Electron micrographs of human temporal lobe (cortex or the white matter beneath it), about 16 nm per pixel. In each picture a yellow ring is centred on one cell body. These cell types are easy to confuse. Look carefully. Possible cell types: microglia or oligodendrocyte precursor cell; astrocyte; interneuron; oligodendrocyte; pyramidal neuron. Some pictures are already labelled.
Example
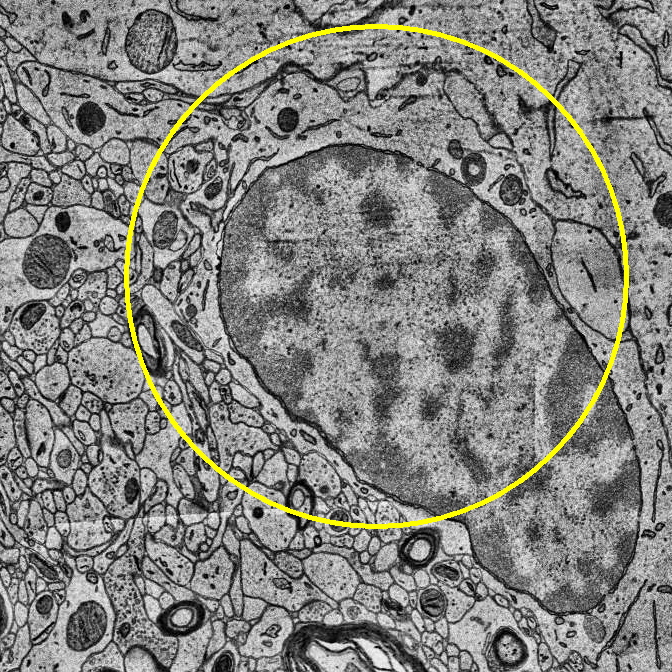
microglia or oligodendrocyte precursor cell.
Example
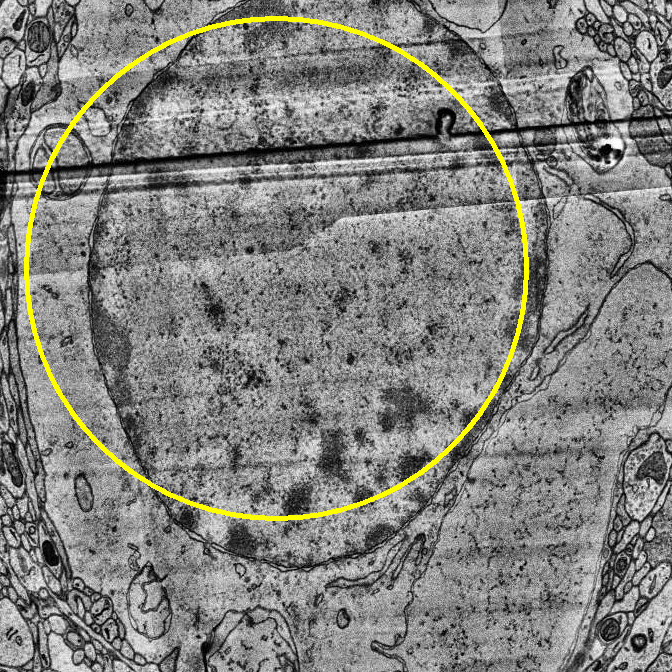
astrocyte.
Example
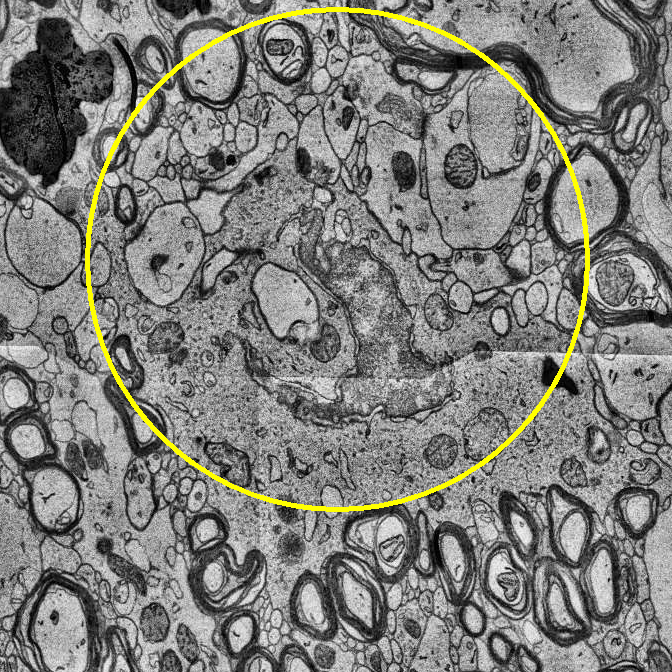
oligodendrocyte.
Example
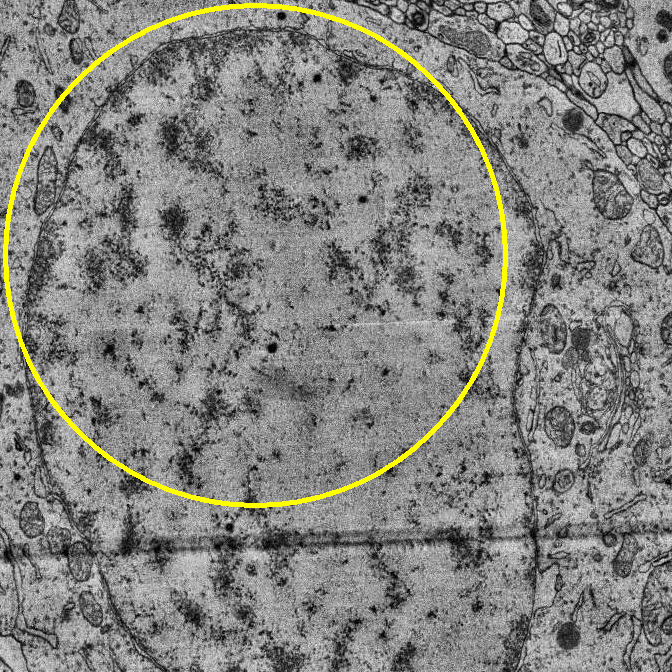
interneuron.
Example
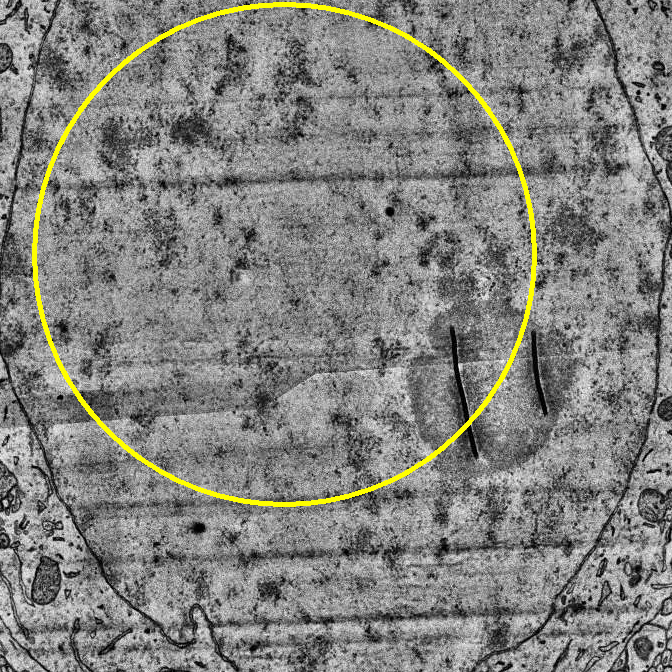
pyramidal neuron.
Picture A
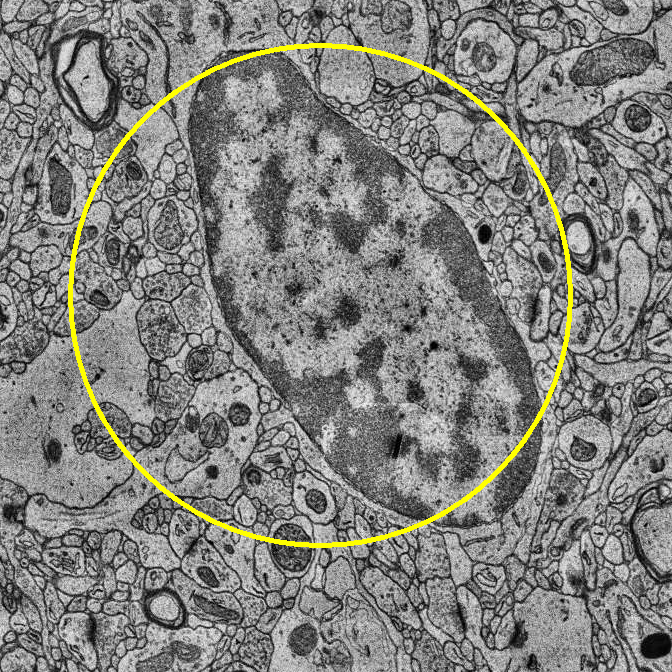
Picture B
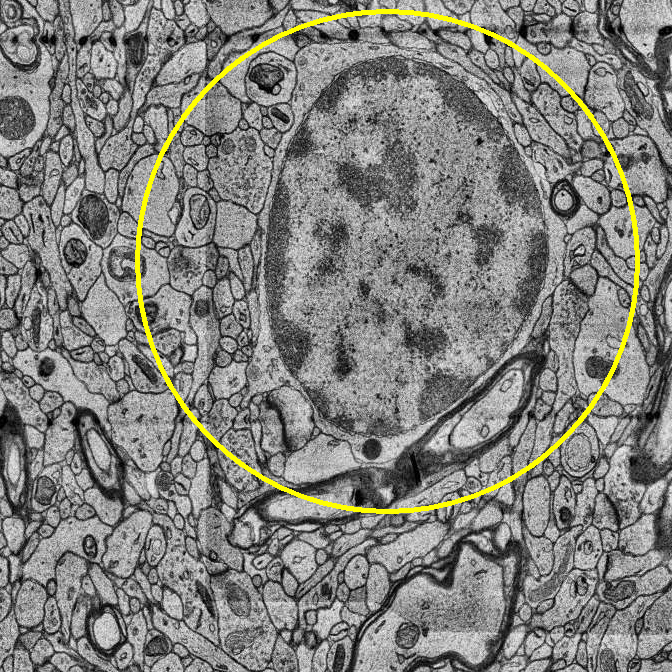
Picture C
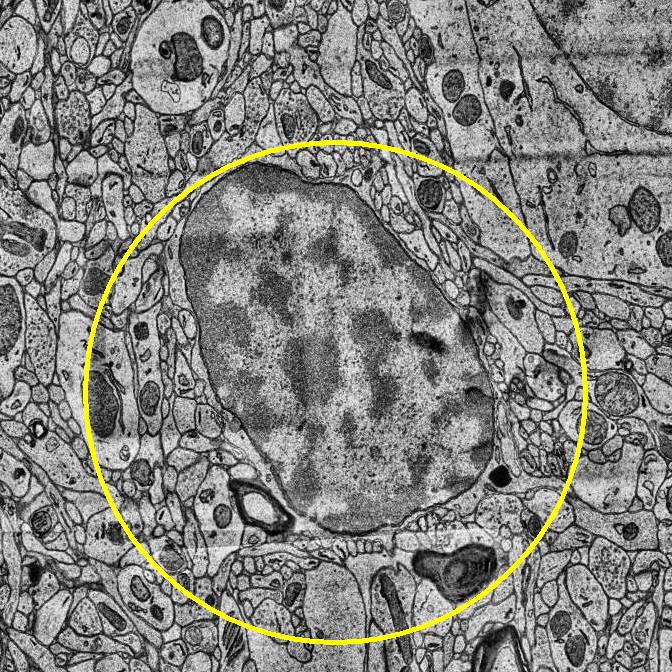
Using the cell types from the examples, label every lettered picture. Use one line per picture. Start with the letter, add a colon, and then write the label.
A: microglia or oligodendrocyte precursor cell.
B: microglia or oligodendrocyte precursor cell.
C: microglia or oligodendrocyte precursor cell.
